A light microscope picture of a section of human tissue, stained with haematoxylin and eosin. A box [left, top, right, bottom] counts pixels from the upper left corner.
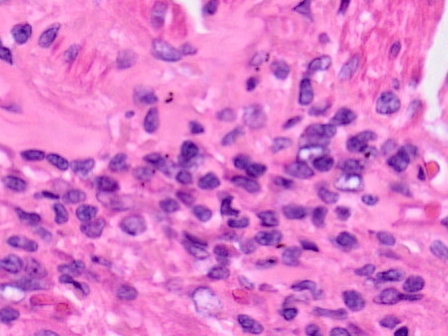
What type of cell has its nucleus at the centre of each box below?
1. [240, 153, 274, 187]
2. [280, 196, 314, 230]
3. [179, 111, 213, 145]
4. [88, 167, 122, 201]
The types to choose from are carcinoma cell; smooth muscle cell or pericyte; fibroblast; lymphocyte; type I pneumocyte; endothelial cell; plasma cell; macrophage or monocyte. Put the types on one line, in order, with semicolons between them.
lymphocyte; lymphocyte; lymphocyte; plasma cell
